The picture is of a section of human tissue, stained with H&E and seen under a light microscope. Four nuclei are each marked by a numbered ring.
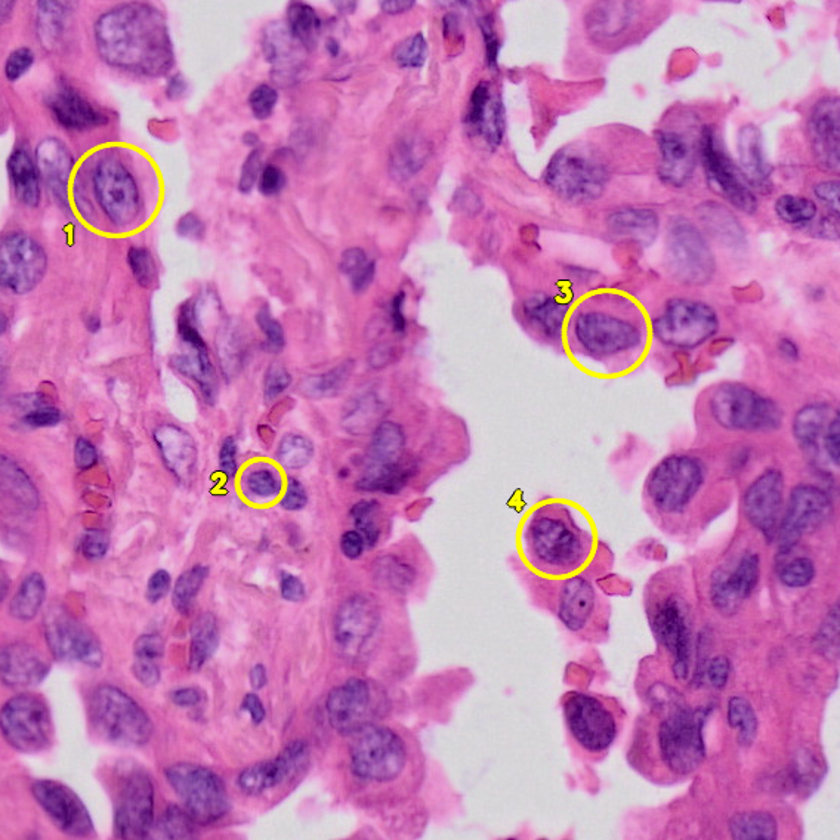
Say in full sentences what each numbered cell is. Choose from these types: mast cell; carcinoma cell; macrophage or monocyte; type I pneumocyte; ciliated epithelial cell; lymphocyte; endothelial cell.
Cell 1 is a carcinoma cell, cell 2 is a lymphocyte, cell 3 is a carcinoma cell and cell 4 is a carcinoma cell.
